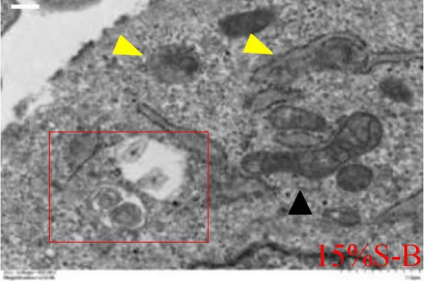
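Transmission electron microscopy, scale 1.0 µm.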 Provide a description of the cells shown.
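Part of a cell's cytoplasm with a cluster of oval and elongated mitochondria of dark matrix on the right and a boxed area of membrane-bounded vacuoles on the left. The vacuoles are pale and contain membranous whorls and debris, and the cytoplasm around them is finely granular.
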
